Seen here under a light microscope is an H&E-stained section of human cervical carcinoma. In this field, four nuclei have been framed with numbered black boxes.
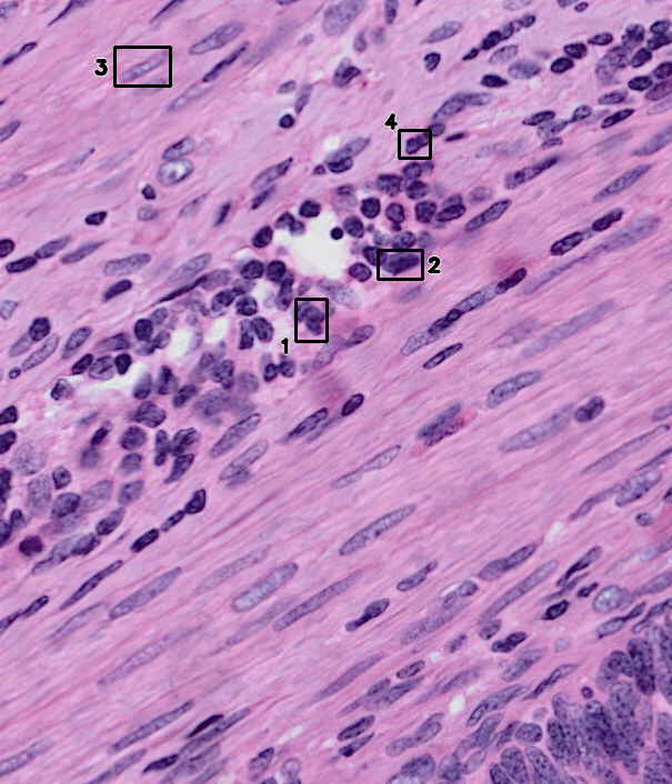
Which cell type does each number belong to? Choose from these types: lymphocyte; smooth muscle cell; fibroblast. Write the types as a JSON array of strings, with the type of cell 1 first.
["lymphocyte", "lymphocyte", "smooth muscle cell", "lymphocyte"]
